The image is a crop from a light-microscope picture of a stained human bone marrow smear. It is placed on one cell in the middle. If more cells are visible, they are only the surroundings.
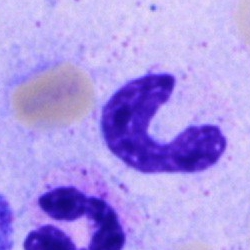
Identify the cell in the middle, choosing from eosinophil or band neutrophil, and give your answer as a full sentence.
Standing at the centre of this crop is a band neutrophil.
